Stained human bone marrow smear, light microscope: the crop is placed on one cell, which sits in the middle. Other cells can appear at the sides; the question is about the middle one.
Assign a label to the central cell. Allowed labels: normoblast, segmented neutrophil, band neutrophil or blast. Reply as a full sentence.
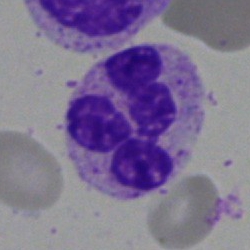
For this crop, the cell in the middle is a segmented neutrophil.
